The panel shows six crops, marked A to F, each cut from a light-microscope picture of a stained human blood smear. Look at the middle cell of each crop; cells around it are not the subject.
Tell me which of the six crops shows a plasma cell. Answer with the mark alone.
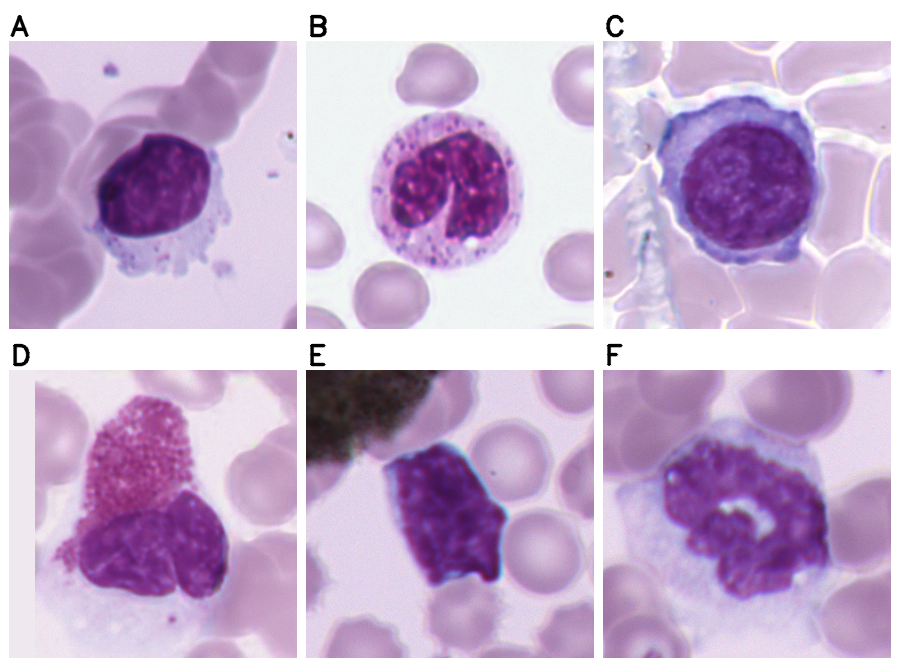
C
